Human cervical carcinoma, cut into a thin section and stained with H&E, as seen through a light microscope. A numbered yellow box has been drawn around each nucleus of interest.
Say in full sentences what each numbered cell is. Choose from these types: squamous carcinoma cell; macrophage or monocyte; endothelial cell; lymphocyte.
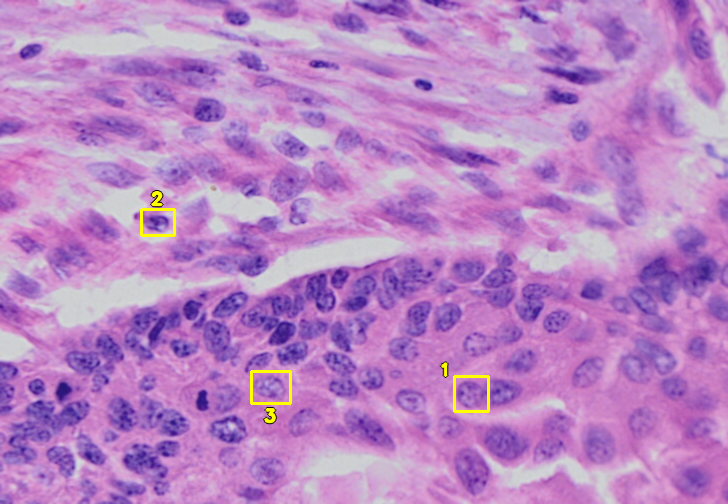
Cells 1 and 3 are squamous carcinoma cells. Cell 2 is a macrophage or monocyte.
